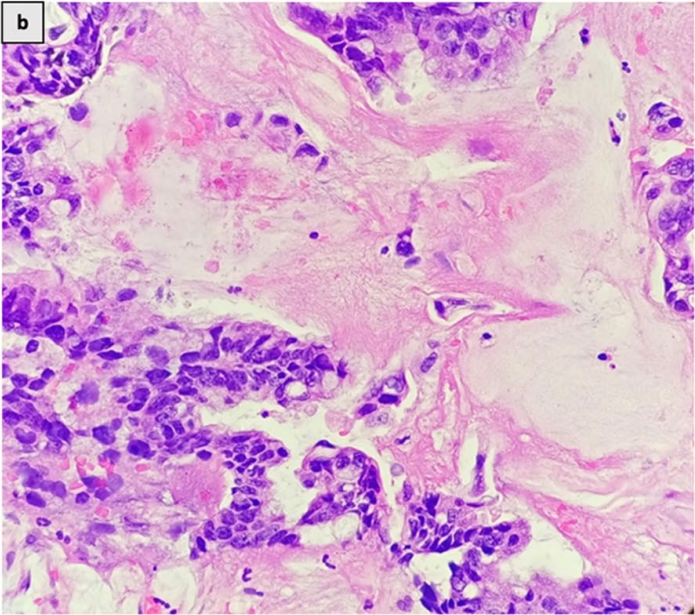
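Malignant mucinous glands lie within stroma beside large pools of extravasated mucin. The tumour cells form crowded, irregular clusters and glandular groups with large, hyperchromatic, pleomorphic nuclei, some with visible nucleoli, and variable amounts of pink or clear vacuolated cytoplasm. Between the cell groups, pale, wispy, faintly pink-grey acellular material fills wide spaces, with thin pink fibrous strands running through it and a few isolated cells floating within. The cell clusters border this material at the edges of the field.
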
